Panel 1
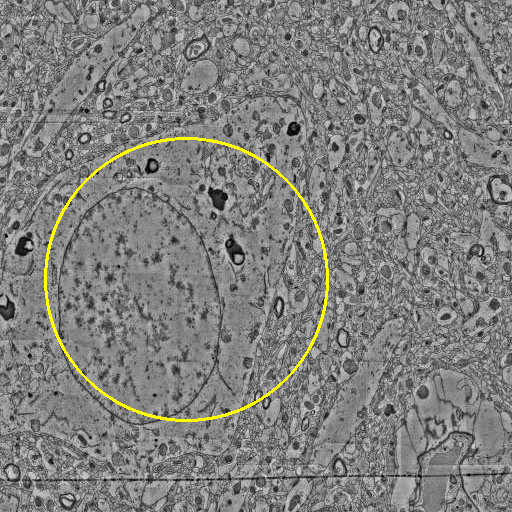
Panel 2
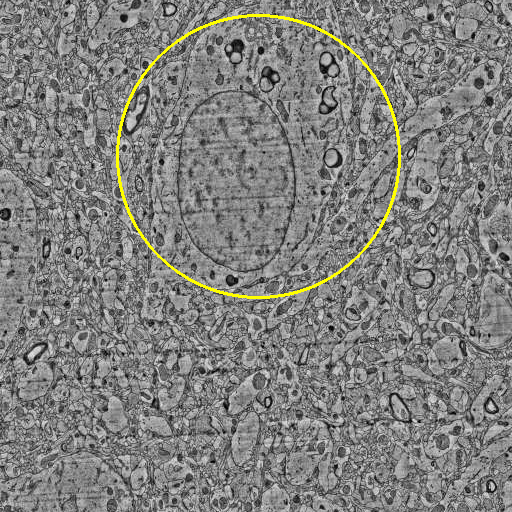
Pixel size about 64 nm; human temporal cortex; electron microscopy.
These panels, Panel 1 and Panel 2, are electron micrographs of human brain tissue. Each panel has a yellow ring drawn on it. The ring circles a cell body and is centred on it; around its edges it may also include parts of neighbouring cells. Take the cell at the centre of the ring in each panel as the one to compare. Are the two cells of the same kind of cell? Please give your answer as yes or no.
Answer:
yes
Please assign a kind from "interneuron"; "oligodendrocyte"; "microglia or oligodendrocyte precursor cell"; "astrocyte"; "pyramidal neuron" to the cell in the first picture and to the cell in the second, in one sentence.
In the first picture and in the second, the ring is centred on a pyramidal neuron.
